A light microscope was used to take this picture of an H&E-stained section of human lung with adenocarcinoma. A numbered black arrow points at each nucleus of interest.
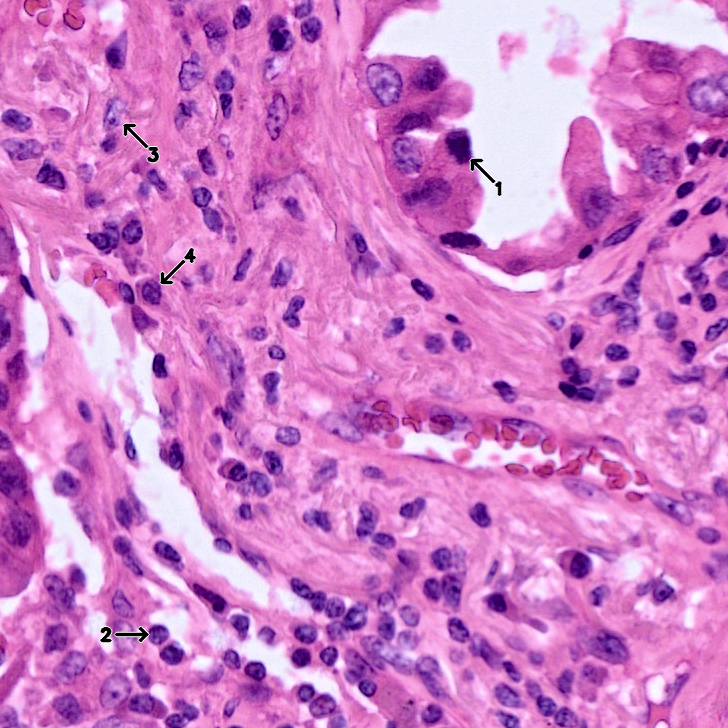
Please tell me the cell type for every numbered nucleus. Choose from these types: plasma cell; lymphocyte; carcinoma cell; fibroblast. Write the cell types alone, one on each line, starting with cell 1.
carcinoma cell
lymphocyte
fibroblast
plasma cell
